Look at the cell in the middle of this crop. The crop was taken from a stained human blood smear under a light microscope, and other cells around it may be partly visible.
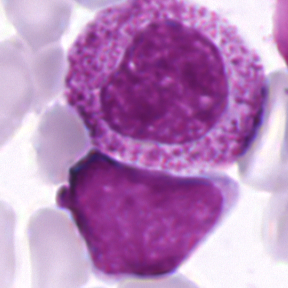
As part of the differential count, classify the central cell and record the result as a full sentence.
The center cell of this crop is a myelocyte.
